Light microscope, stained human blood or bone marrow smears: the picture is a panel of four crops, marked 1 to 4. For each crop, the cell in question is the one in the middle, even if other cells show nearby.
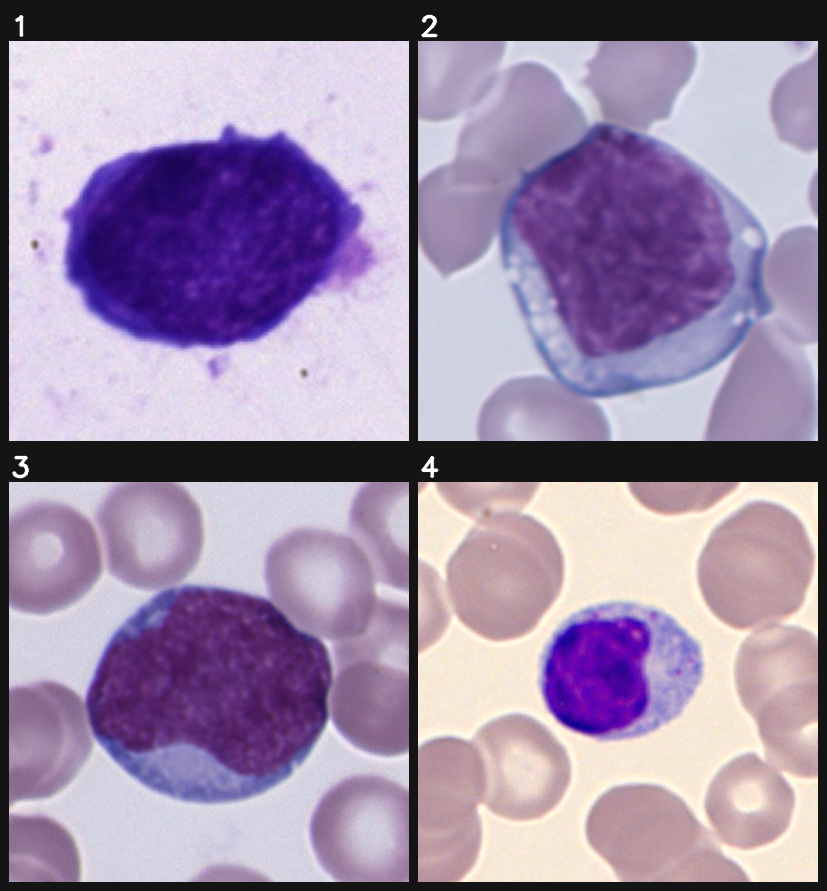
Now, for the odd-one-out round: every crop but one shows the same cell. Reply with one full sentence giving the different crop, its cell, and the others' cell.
Apart from crop 4, a lymphocyte, the crops all show blasts.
